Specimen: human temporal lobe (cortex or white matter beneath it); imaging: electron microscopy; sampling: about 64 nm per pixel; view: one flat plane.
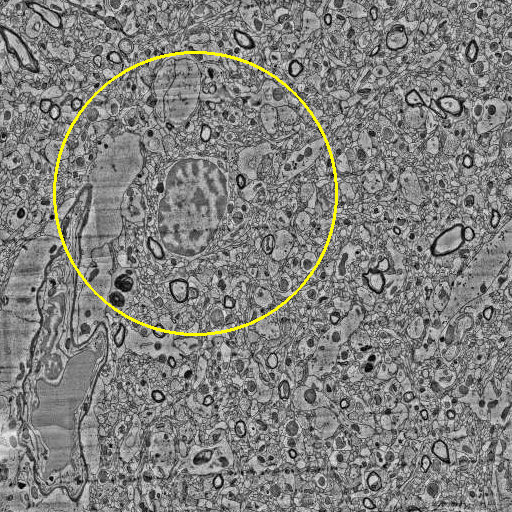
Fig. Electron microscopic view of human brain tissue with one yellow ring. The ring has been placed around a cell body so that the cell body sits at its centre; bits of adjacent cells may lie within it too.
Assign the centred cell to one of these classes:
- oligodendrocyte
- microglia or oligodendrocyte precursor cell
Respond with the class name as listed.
microglia or oligodendrocyte precursor cell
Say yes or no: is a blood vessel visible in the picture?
Yes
